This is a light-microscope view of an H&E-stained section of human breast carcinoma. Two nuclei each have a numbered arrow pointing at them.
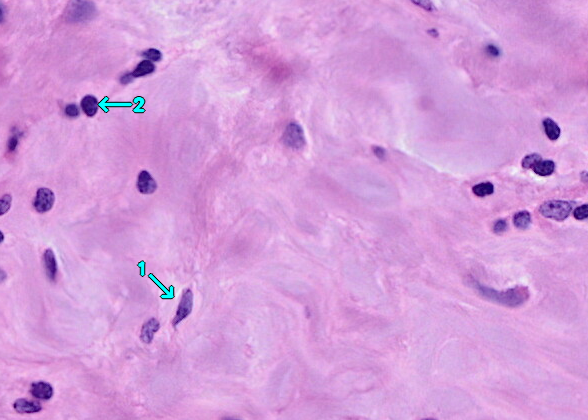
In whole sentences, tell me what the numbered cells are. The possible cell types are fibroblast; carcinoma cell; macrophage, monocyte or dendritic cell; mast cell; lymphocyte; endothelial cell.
Cell 1 is a fibroblast and cell 2 is a lymphocyte.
